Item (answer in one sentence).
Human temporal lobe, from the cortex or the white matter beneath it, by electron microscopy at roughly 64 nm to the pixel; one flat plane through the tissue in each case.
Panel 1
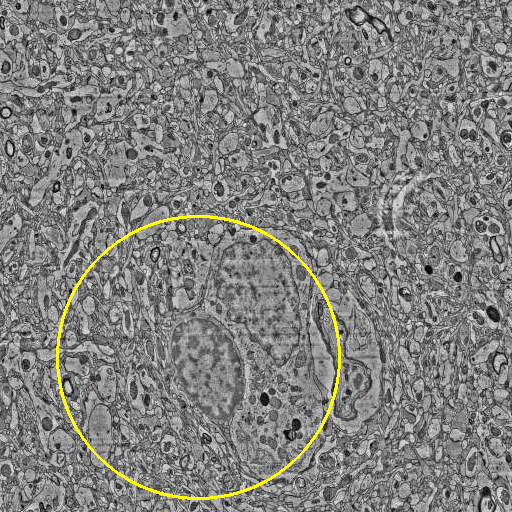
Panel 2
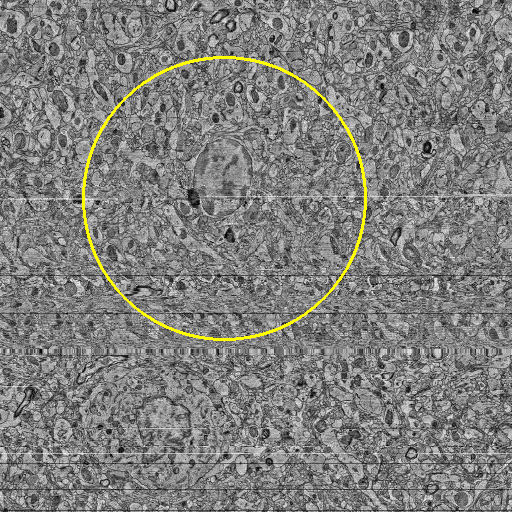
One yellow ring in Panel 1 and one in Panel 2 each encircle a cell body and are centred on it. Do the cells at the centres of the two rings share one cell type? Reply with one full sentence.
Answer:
No, Panel 1 and Panel 2 show cells of two types at the centres of their rings.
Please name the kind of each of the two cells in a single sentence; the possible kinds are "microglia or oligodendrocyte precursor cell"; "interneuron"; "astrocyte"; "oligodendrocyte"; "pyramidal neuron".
In the first picture the ring is centred on an oligodendrocyte, and in the second on a microglial cell or oligodendrocyte precursor cell.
